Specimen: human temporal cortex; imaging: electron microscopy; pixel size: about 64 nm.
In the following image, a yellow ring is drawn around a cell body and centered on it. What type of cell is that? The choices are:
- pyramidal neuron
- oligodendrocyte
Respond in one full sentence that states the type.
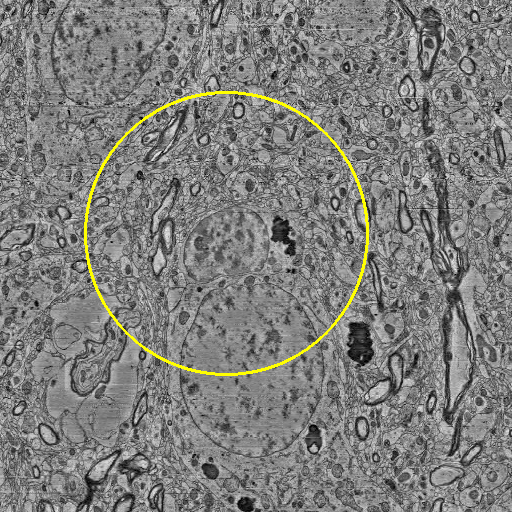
The cell at the center of the yellow ring in the image is an oligodendrocyte.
